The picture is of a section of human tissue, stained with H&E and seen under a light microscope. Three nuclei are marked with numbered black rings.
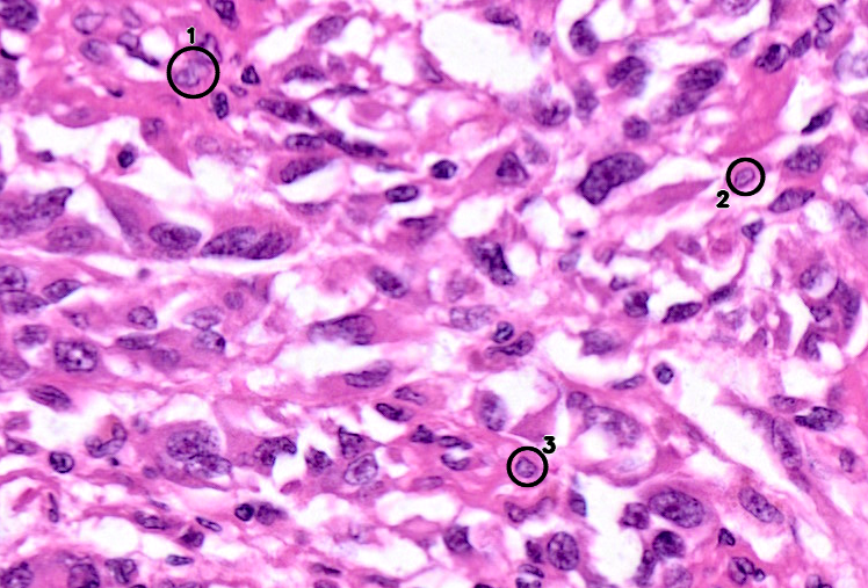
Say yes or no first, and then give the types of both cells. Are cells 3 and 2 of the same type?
Yes, cells 3 and 2 are macrophages or monocytes, the two of them alike.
